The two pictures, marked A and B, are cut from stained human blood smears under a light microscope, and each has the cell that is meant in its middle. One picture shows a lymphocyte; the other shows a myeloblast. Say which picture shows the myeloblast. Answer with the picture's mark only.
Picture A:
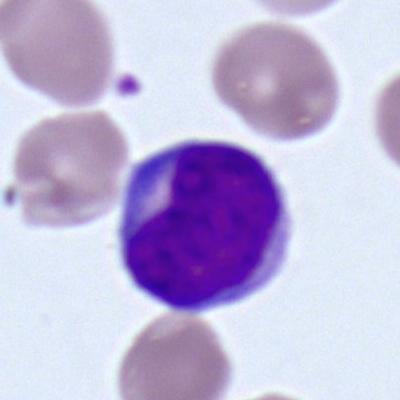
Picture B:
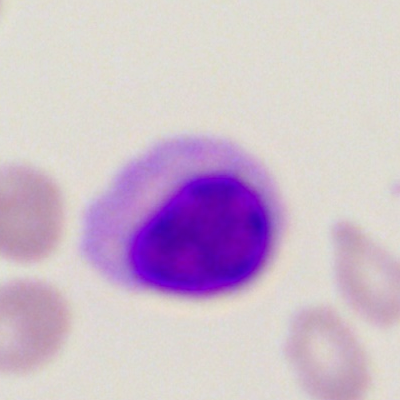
A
